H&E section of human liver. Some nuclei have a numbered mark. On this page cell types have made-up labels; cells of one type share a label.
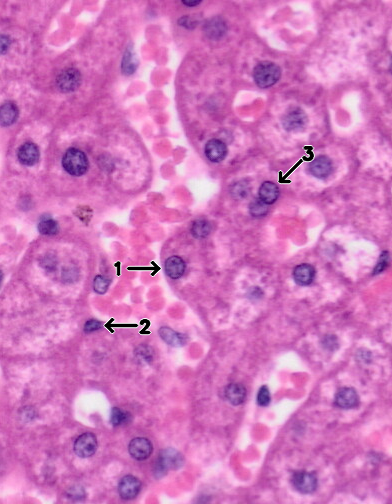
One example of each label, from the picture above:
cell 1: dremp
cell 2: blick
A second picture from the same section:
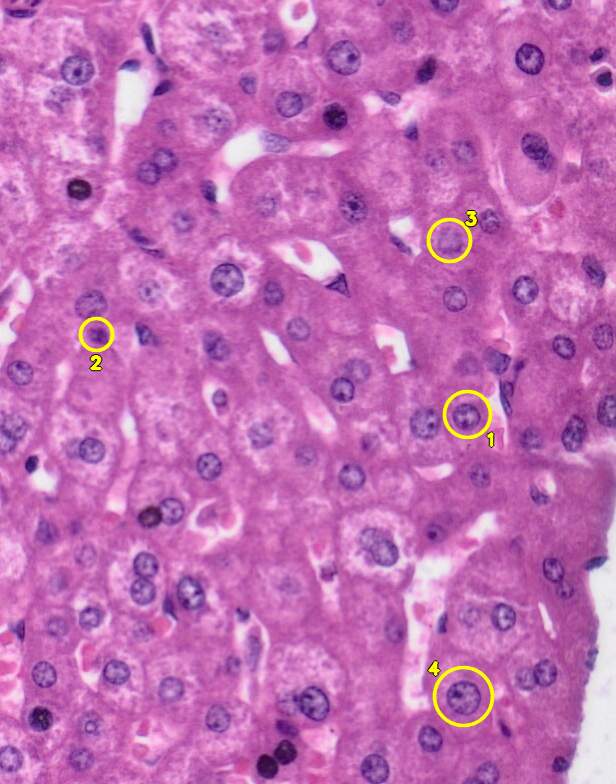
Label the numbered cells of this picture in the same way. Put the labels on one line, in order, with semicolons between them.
dremp; blick; dremp; dremp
